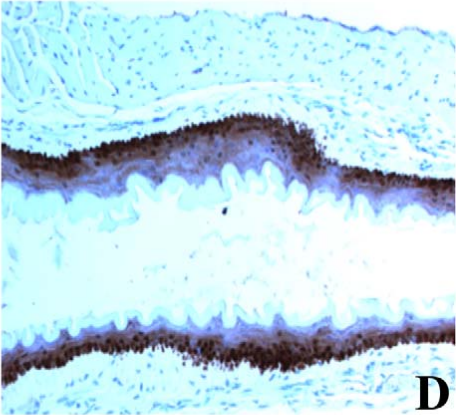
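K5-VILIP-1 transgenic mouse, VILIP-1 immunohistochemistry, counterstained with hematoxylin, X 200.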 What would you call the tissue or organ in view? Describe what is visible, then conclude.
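A tubular organ with a lumen lined on both sides by a stratified epithelium. The basal part of the epithelium is strongly brown.
Conclusion: esophagus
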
